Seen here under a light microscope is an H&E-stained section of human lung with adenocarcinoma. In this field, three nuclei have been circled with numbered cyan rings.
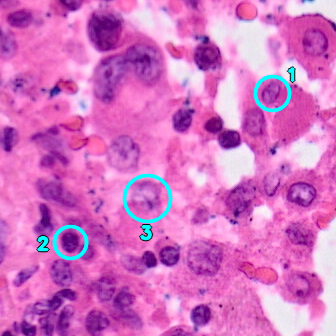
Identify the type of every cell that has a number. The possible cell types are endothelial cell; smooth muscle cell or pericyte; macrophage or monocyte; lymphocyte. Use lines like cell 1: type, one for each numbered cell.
cell 1: macrophage or monocyte
cell 2: lymphocyte
cell 3: macrophage or monocyte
